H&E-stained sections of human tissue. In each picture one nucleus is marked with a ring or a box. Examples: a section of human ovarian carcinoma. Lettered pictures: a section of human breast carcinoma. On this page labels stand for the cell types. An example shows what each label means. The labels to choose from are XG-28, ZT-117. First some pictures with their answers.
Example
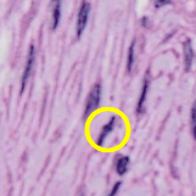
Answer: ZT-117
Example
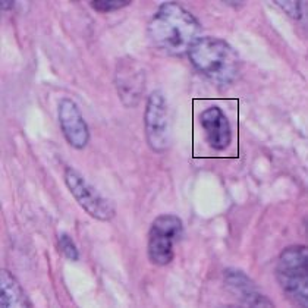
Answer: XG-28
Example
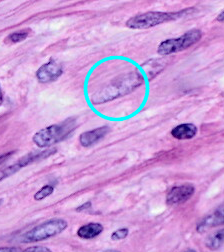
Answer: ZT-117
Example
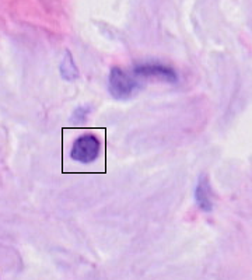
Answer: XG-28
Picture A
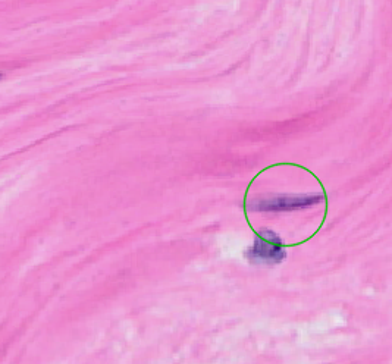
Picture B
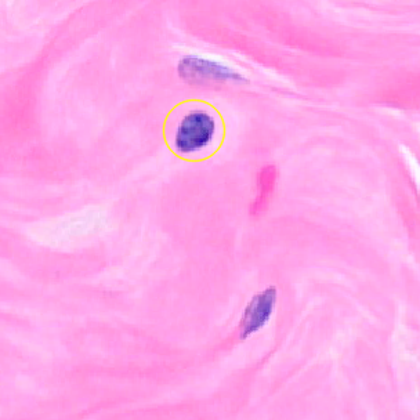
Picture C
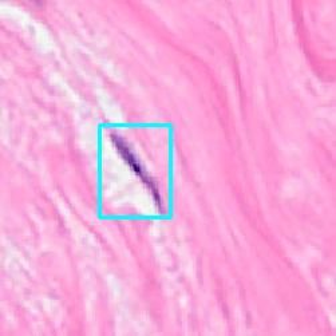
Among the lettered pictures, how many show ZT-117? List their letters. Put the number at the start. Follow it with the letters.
2: A, C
